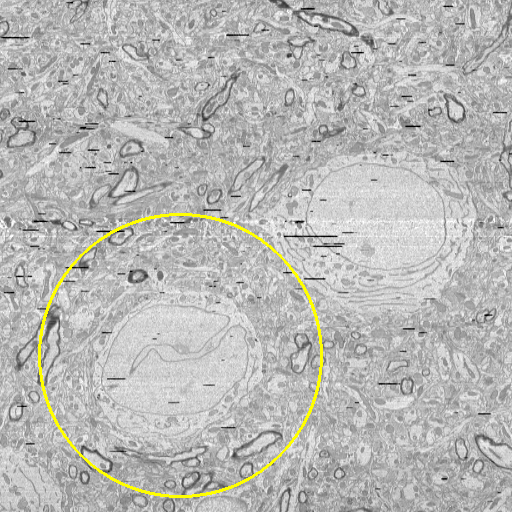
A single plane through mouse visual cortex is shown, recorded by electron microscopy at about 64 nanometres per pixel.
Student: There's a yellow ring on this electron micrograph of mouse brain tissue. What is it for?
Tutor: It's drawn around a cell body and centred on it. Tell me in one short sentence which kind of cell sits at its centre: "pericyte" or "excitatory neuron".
The cell at the centre of the ring is an excitatory neuron.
